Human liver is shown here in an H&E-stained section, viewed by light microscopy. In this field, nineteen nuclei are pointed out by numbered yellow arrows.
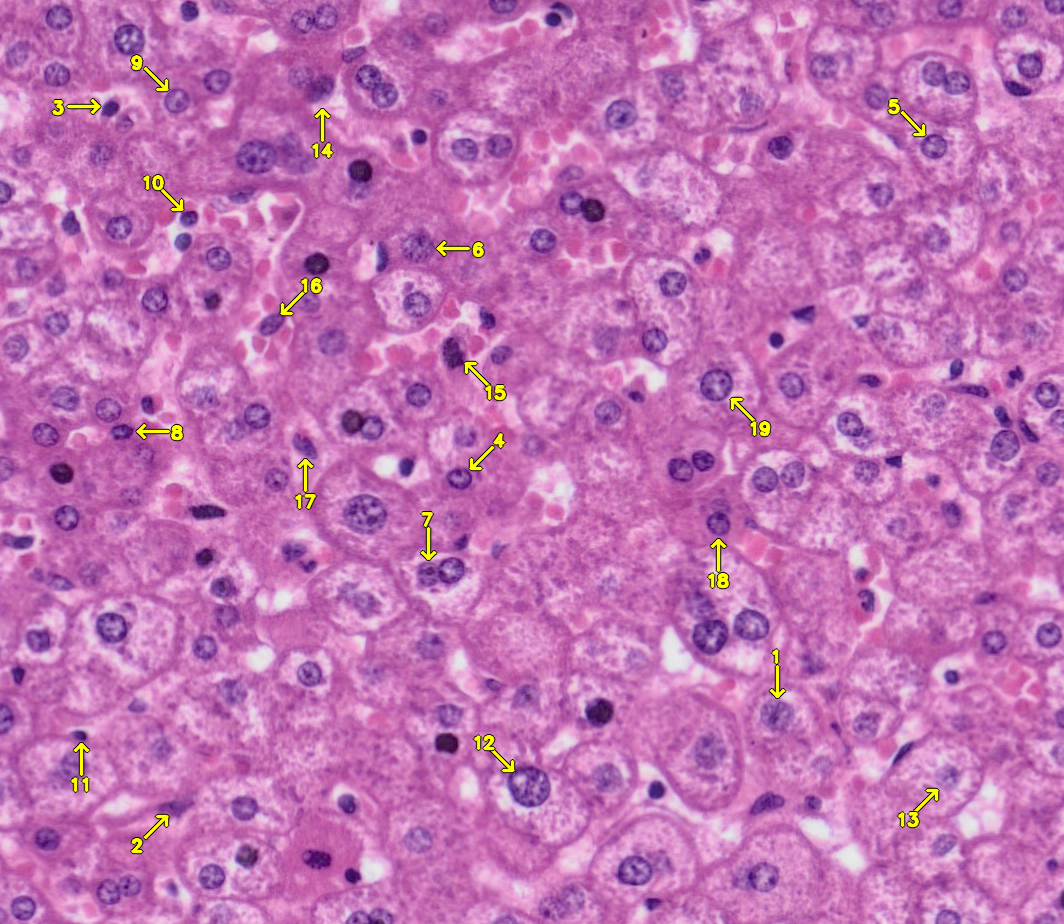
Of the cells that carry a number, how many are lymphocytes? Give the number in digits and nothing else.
3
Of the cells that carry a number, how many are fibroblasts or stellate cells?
1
